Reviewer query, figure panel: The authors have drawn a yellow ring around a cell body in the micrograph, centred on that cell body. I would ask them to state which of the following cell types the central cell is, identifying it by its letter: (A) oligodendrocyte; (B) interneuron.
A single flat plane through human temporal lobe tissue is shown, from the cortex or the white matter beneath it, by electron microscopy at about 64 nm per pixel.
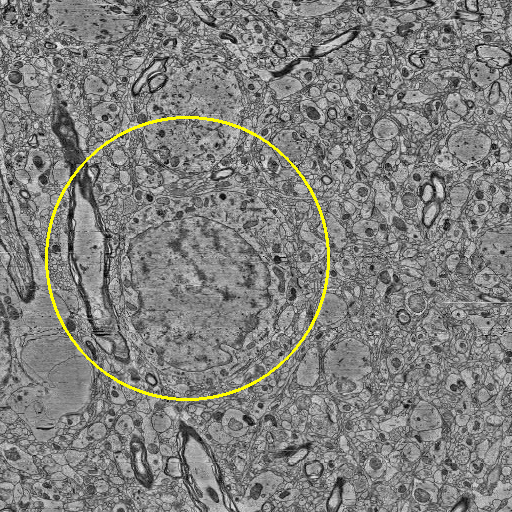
B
